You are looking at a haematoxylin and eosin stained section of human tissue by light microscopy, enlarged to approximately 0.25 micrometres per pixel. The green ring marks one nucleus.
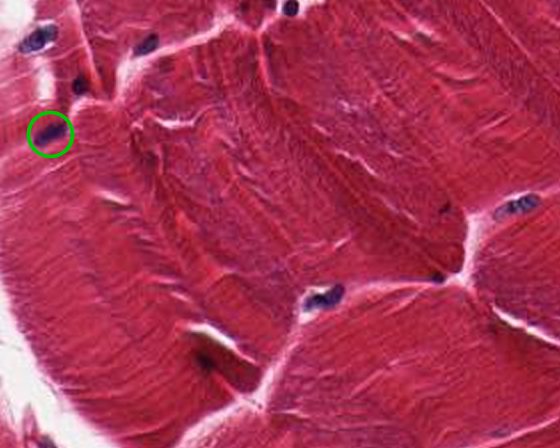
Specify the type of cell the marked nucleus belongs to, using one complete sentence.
The mark in this picture falls on the nucleus of a skeletal muscle fibre.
